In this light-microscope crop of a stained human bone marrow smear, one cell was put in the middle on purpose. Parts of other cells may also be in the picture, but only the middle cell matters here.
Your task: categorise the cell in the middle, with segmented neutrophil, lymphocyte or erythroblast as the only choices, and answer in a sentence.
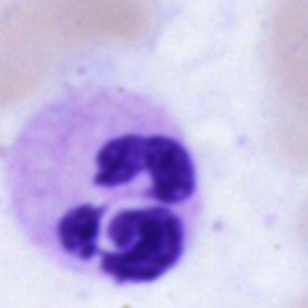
The cell at the central position in this crop is a segmented neutrophil.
